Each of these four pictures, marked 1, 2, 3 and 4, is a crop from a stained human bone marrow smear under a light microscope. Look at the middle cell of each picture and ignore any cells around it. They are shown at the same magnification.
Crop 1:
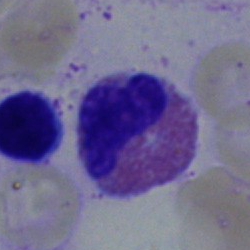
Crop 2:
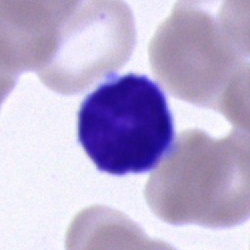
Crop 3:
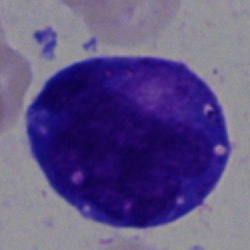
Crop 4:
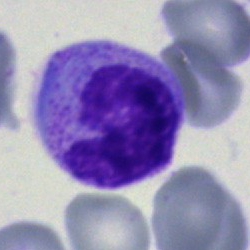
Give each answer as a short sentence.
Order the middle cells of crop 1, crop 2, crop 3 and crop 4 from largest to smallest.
The order is 3, 4, 1, 2, beginning with the largest.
